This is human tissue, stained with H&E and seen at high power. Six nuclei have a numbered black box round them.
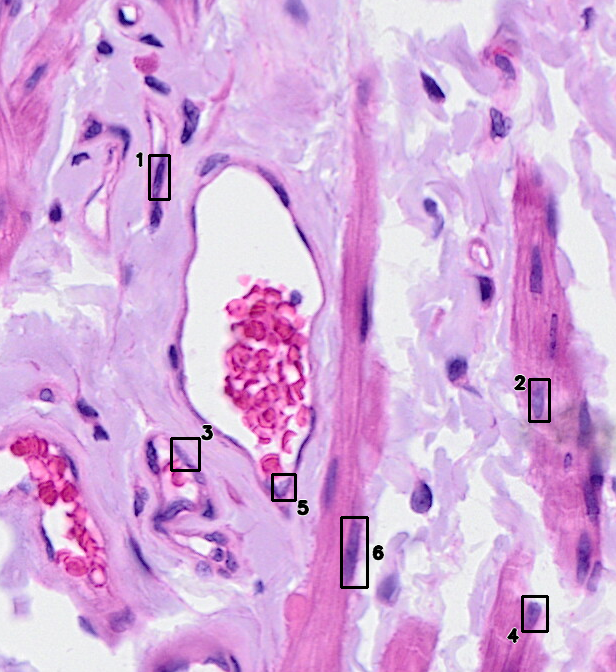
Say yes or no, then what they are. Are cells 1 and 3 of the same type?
Yes, the cells numbered 1 and 3 are both endothelial cells.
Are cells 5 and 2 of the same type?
No, cell number 5 is an endothelial cell and cell number 2 is a smooth muscle cell.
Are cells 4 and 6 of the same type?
Yes, cells 4 and 6 are smooth muscle cells, the two of them alike.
